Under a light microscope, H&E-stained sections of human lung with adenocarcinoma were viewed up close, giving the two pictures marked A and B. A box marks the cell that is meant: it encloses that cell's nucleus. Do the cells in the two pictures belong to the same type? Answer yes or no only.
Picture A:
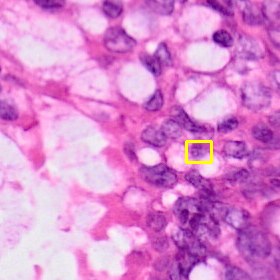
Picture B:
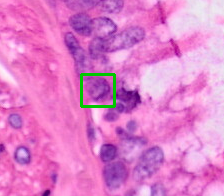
yes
